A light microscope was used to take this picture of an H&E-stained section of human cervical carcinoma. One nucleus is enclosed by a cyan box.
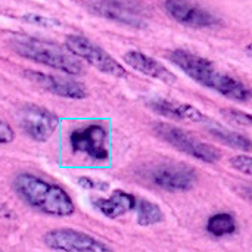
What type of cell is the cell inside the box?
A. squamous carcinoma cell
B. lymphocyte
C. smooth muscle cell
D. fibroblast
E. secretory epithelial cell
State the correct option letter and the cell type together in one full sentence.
Option A names it right: the cell inside the box is a squamous carcinoma cell.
